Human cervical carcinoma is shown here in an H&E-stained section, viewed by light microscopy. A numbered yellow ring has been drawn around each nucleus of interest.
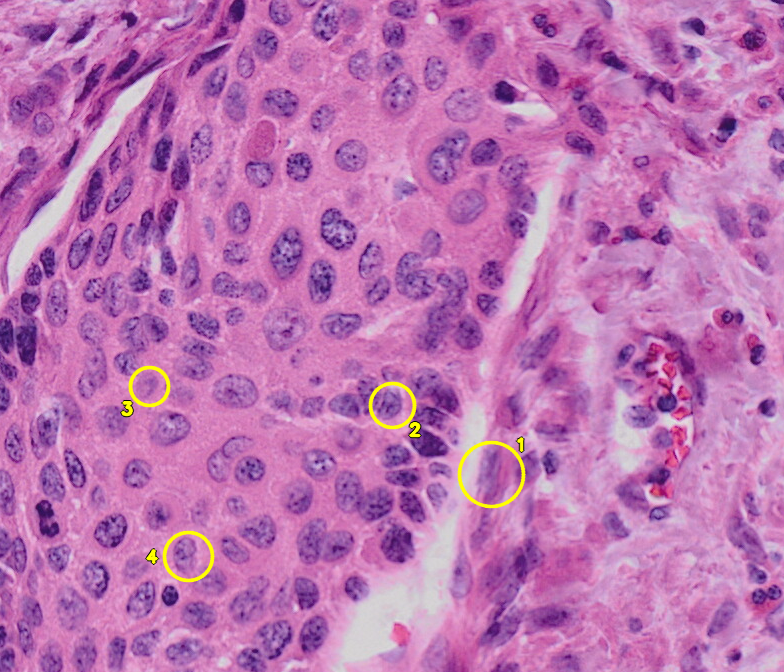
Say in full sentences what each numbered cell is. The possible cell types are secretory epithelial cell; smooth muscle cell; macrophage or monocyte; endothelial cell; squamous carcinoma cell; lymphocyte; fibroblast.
Cell 1 is a fibroblast. Cells 2, 3 and 4 are squamous carcinoma cells.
